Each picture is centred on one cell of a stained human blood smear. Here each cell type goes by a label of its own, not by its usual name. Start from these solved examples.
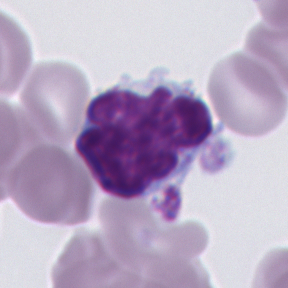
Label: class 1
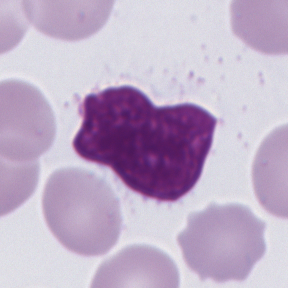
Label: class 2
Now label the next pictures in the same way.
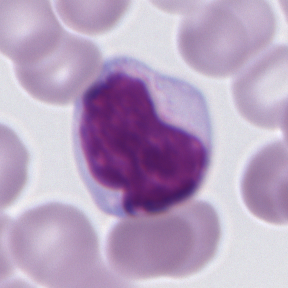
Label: class 1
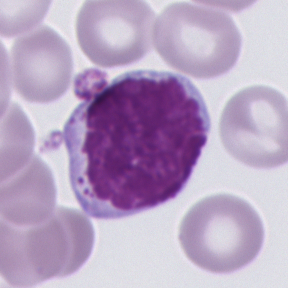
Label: class 1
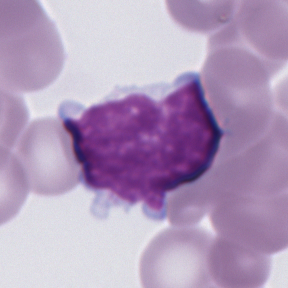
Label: class 1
